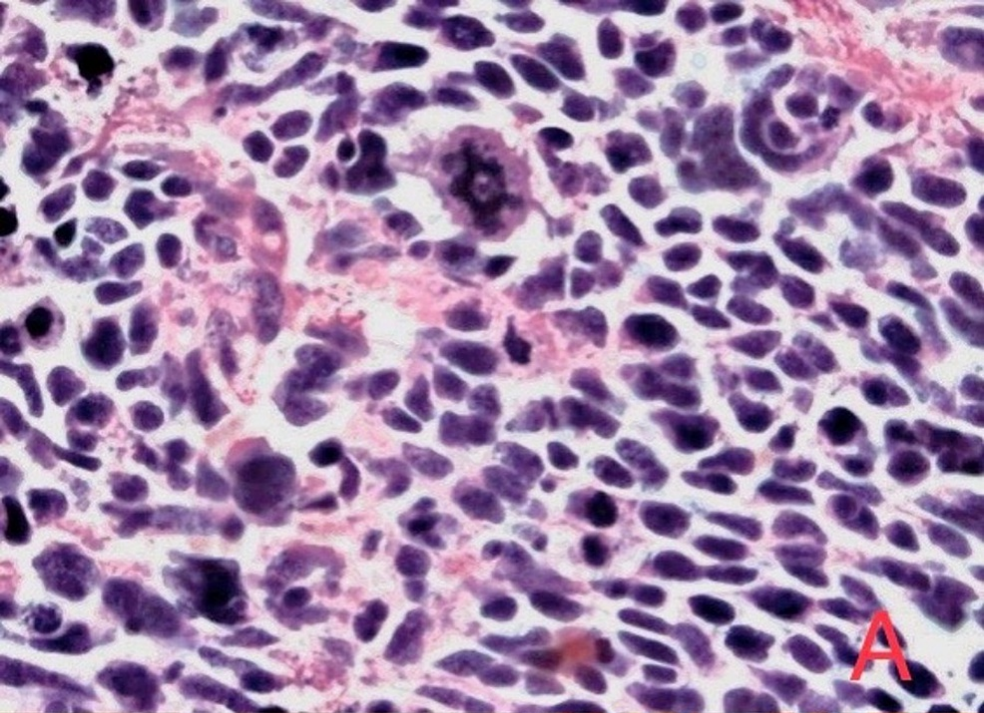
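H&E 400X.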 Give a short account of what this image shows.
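This is a sheet of densely packed tumour cells with very little cytoplasm and crowded, dark purple oval to elongated nuclei. The nuclei press against one another and mould to each other's shapes. Several cells contain large, irregular clumps of dark chromatin, the look of abnormal mitoses, and scattered small, shrunken, very dark nuclei point to dying cells. Thin pink strands of stroma run between the cells.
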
